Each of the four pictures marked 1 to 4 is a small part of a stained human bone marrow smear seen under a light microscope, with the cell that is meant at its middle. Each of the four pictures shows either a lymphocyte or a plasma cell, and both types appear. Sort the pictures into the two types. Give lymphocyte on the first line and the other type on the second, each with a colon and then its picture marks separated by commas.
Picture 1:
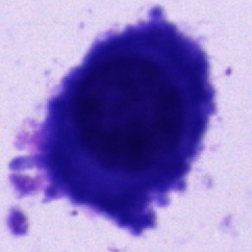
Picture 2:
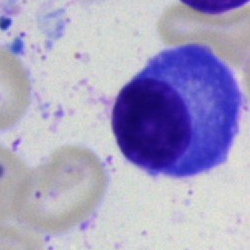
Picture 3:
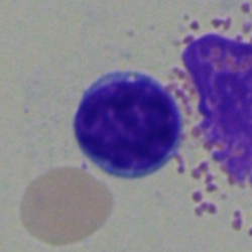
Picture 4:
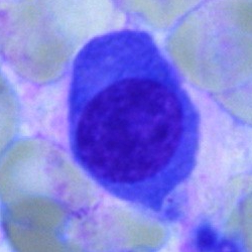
lymphocyte: 3
plasma cell: 1, 2, 4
